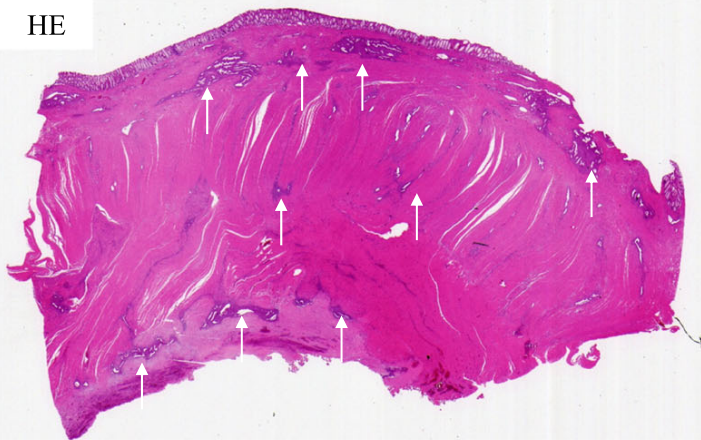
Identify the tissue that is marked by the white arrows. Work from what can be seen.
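The arrows point to small purple islands scattered through the pink wall. The islands contain small gland spaces set in denser purple cellular tissue. The islands lie deep to the mucosal surface, throughout the thick wall. The answer: endometrial glands and stroma.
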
